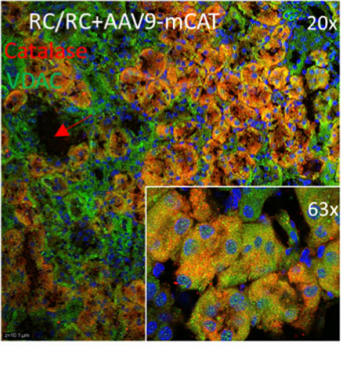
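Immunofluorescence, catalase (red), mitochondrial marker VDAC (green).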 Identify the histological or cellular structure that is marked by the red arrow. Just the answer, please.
Cysts.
